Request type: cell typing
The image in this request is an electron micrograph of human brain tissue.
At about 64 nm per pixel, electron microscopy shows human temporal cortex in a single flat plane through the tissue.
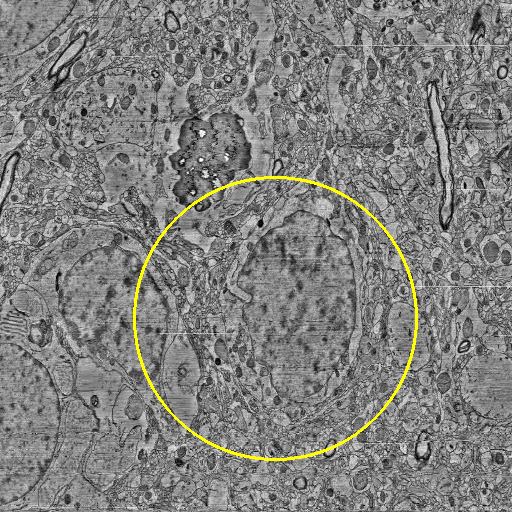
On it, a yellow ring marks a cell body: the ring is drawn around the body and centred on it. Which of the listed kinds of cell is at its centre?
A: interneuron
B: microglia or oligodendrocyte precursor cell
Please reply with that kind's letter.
A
